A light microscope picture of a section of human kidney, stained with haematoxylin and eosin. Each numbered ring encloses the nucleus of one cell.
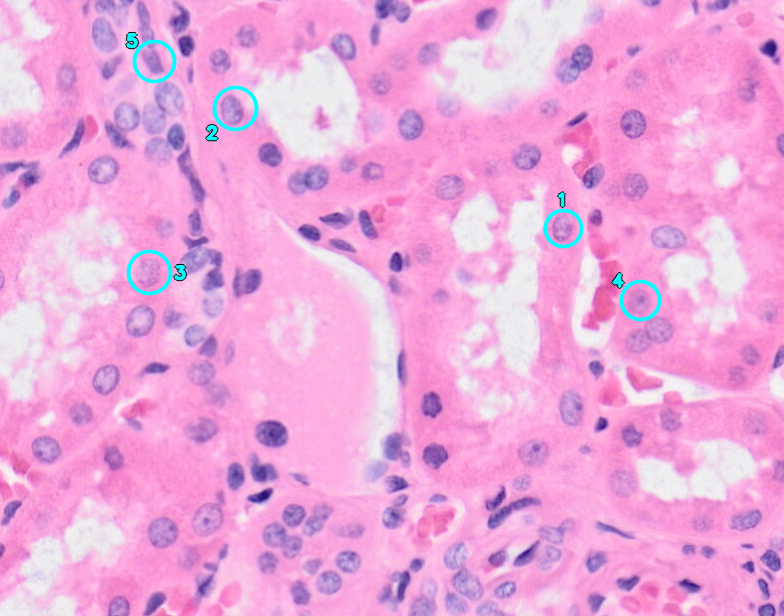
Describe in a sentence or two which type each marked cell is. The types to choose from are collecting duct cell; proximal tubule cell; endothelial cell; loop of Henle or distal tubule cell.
Cells 1, 3 and 4 are proximal tubule cells. Cell 2 is a loop of Henle or distal tubule cell. Cell 5 is a collecting duct cell.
